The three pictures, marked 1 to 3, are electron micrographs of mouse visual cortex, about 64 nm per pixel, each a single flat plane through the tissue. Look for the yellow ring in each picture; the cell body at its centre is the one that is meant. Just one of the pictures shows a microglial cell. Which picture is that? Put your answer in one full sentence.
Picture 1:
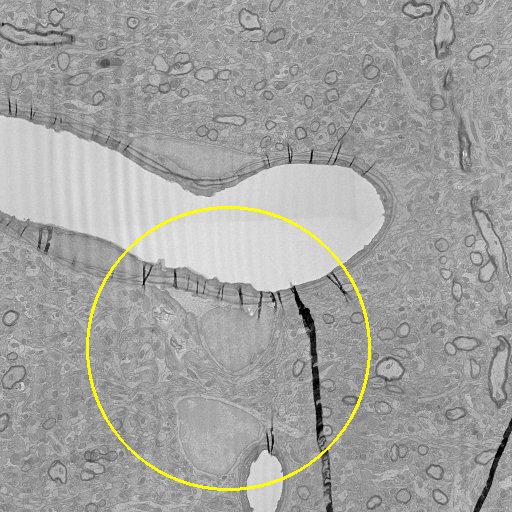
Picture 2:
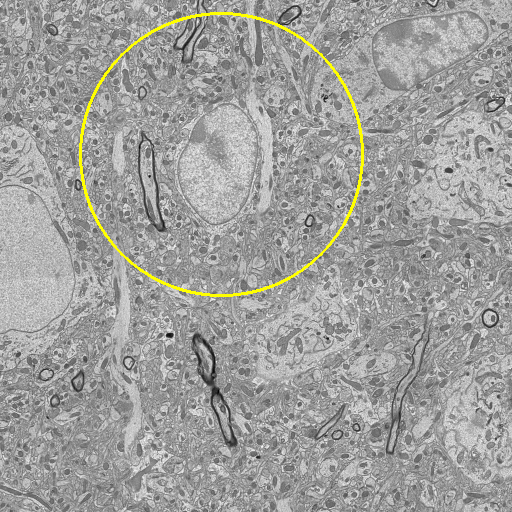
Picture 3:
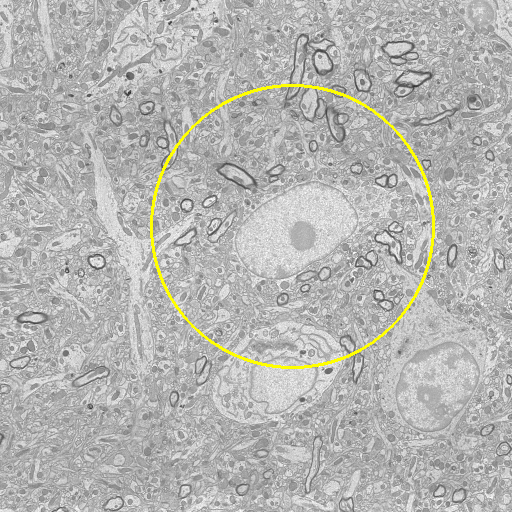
Picture 1 shows the microglial cell.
